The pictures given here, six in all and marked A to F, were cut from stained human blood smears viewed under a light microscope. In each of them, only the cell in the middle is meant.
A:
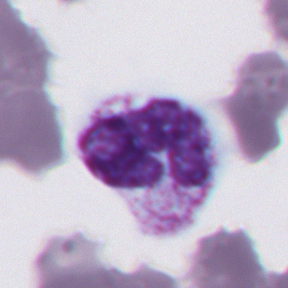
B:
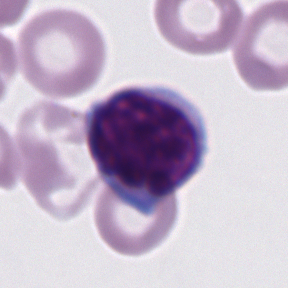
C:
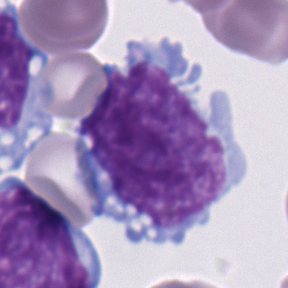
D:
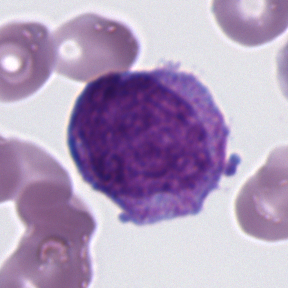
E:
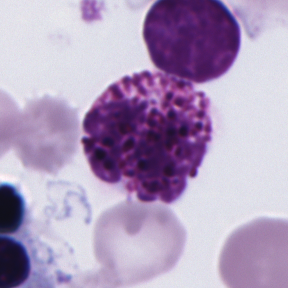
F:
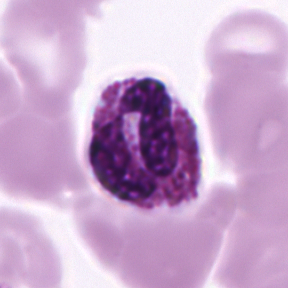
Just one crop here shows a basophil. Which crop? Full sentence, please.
Among all the crops given here, the one with a basophil is crop E.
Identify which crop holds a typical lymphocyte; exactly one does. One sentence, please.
Only in crop B is a typical lymphocyte shown.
